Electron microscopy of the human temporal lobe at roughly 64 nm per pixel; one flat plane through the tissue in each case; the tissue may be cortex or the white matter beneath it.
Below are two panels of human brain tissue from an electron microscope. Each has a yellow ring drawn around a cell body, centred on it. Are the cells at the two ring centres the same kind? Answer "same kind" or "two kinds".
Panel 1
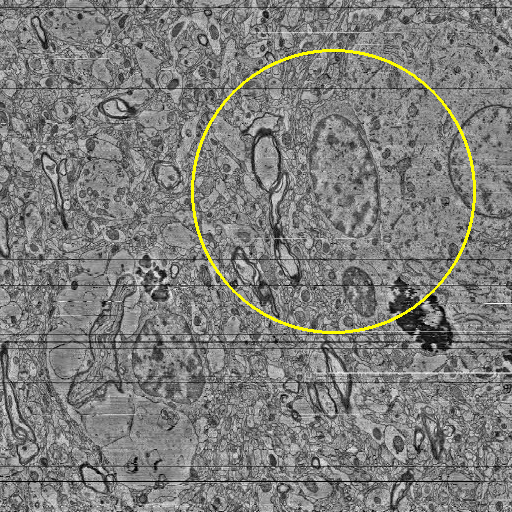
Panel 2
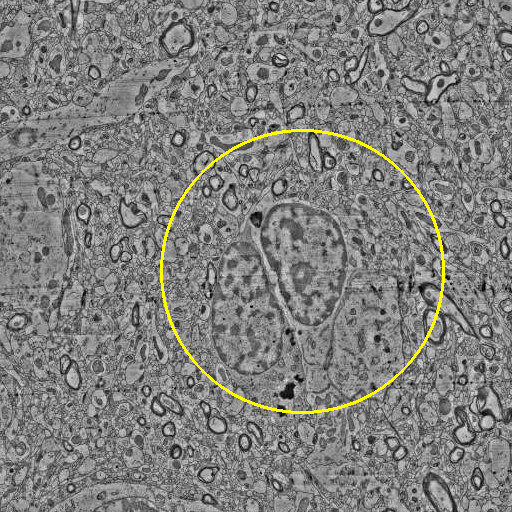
two kinds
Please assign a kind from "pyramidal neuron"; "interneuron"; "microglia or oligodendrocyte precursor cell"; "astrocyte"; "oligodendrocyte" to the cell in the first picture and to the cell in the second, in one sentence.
In the first picture we have an oligodendrocyte, and in the second, a microglial cell or oligodendrocyte precursor cell.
